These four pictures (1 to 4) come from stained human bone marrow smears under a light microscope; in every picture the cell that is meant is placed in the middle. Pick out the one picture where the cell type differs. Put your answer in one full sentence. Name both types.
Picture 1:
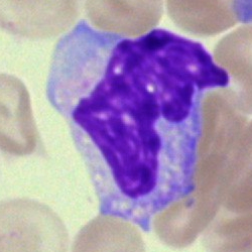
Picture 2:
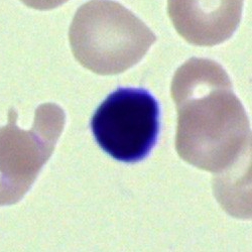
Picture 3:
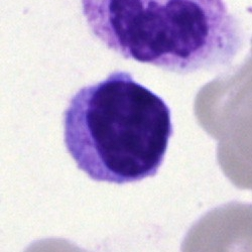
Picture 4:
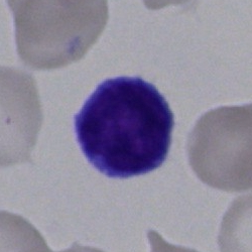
The others show lymphocytes, but picture 1 shows a monocyte.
